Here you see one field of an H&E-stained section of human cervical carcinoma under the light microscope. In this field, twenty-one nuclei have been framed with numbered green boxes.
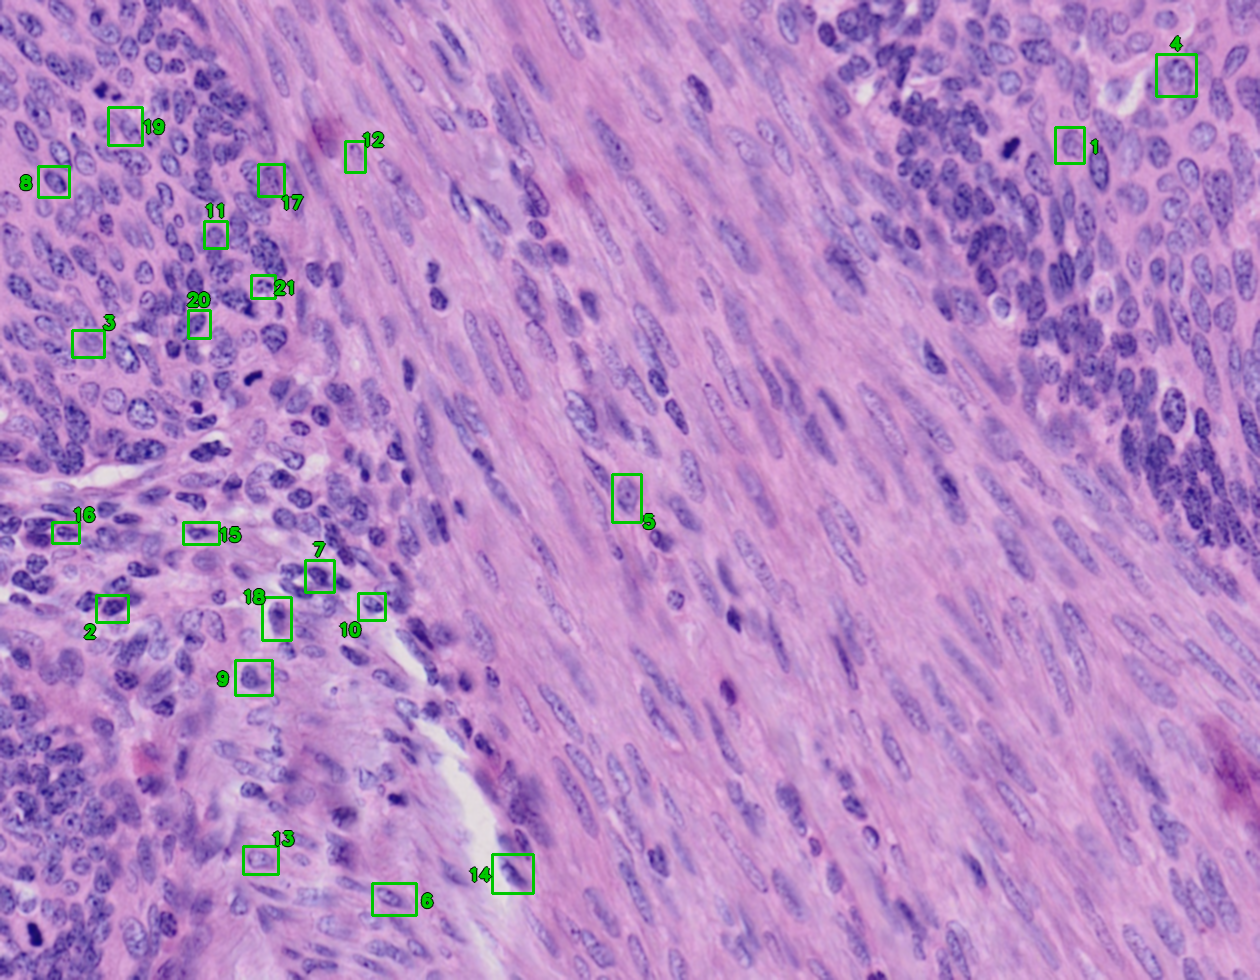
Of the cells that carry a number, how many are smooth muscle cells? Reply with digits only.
4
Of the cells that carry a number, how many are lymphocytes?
8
